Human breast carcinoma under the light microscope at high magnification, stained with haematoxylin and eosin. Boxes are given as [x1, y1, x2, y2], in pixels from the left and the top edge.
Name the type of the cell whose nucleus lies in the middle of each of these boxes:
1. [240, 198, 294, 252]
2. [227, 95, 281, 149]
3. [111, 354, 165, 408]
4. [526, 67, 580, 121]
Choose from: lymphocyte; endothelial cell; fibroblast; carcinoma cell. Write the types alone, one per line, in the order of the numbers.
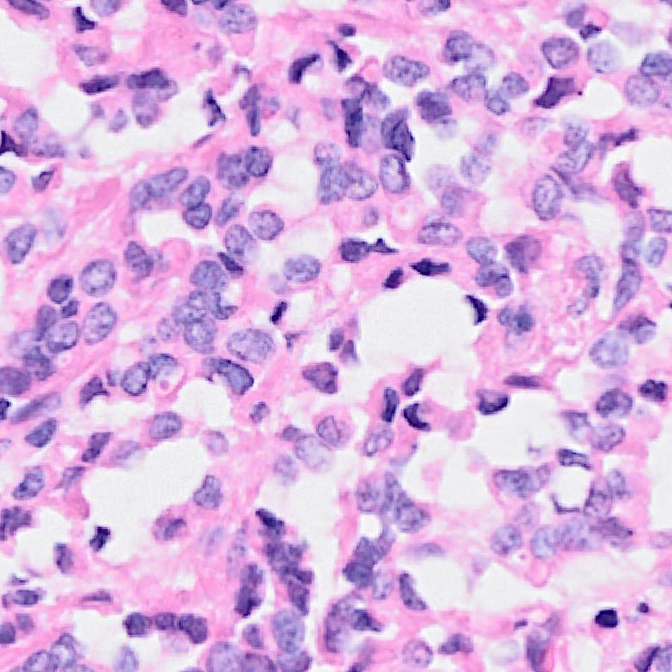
carcinoma cell
endothelial cell
carcinoma cell
carcinoma cell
